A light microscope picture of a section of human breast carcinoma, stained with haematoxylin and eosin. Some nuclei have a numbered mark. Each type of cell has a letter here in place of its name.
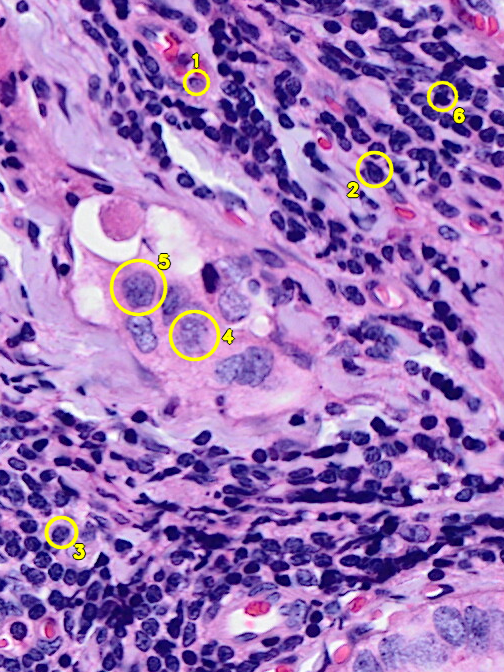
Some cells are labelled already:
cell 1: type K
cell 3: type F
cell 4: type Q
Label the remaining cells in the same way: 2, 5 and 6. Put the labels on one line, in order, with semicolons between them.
type F; type Q; type F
